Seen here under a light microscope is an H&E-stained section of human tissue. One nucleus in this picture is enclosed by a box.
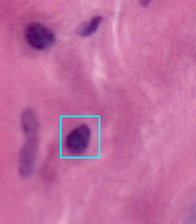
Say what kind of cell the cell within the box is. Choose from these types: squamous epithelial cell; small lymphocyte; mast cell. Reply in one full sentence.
The cell within the box is a mast cell.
